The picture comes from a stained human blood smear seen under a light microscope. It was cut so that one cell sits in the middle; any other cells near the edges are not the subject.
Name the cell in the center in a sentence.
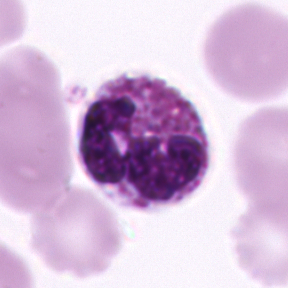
Located at the centre of the crop is an eosinophil.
